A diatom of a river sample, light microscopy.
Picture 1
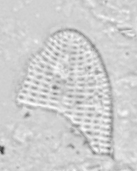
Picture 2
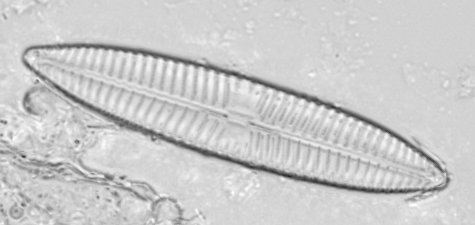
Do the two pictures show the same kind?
No: Cocconeis, then Navicula.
